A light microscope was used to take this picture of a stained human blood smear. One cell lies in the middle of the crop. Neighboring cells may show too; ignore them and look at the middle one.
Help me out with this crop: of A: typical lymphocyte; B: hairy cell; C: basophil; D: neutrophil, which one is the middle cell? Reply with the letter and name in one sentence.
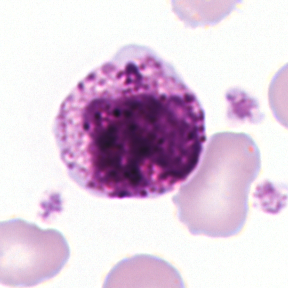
It is a basophil that occupies the centre of the crop, so option C is correct.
